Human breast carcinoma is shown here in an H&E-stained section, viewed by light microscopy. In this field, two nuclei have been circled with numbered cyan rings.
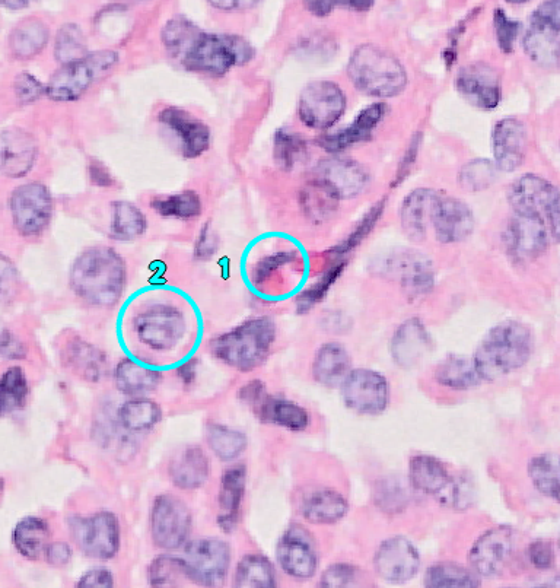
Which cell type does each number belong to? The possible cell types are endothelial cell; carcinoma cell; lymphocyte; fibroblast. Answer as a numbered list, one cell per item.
1. endothelial cell
2. carcinoma cell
